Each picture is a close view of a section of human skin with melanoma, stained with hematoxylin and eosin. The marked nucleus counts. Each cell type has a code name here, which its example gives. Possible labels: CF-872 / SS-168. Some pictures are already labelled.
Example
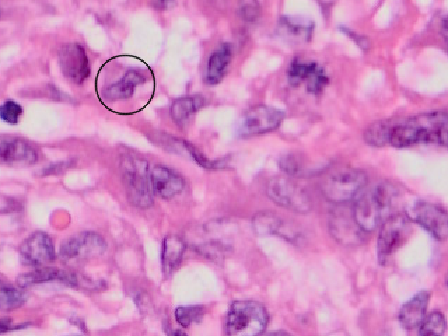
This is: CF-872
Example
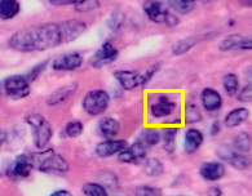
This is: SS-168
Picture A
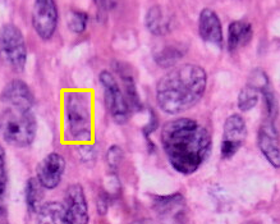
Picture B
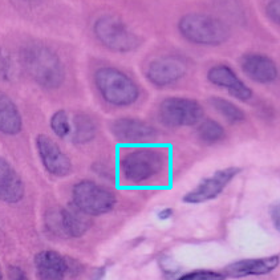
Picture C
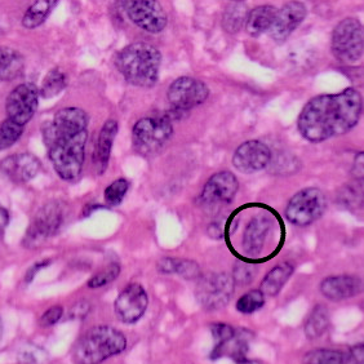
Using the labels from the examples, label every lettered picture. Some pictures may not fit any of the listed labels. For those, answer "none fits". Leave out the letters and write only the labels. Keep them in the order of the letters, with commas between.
CF-872, none fits, CF-872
